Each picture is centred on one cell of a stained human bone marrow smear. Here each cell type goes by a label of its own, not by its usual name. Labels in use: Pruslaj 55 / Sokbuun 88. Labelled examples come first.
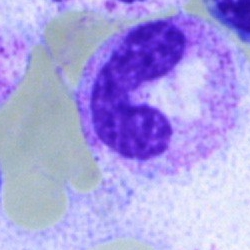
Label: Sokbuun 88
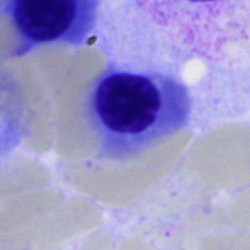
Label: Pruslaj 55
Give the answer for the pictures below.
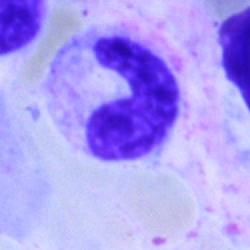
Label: Sokbuun 88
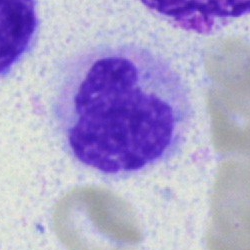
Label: Sokbuun 88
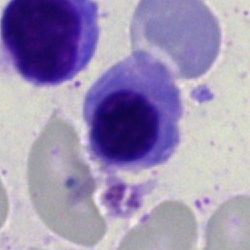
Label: Pruslaj 55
